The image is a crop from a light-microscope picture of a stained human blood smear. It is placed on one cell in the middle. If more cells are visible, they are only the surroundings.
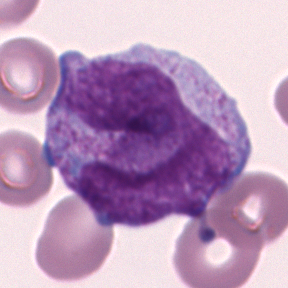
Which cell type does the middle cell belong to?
atypical promyelocyte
